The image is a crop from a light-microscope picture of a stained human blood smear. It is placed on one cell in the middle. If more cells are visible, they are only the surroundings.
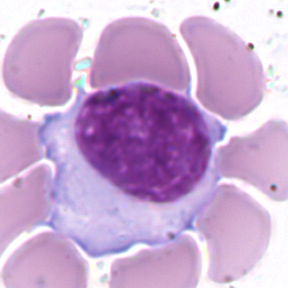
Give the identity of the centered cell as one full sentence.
In the center of this field lies a plasma cell.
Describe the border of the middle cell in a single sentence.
A smooth outline is absent here, replaced by ragged stretches or projections.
